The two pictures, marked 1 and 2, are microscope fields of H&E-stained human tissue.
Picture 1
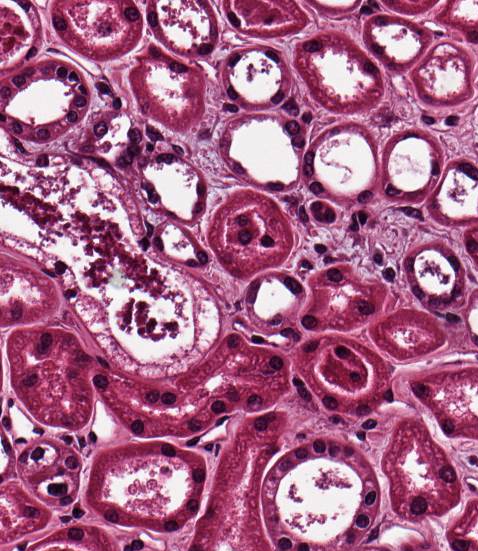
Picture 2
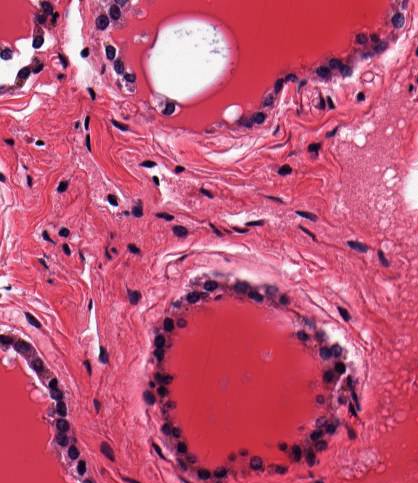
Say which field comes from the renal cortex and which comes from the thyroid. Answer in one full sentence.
Picture 1 comes from the renal cortex; picture 2 comes from the thyroid.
